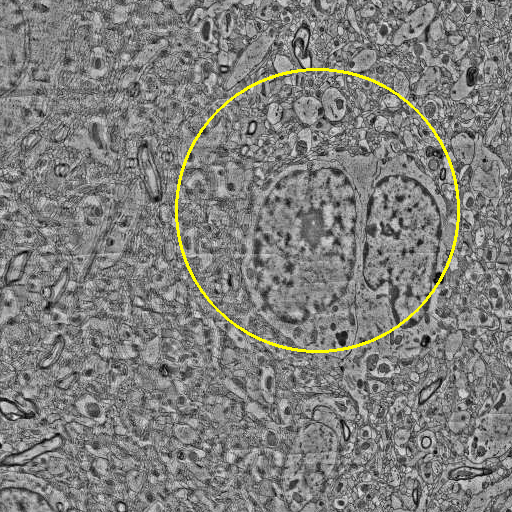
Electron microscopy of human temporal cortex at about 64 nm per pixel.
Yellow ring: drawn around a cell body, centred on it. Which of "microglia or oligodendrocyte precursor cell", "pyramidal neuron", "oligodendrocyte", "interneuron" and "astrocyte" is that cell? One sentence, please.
That cell body is from an interneuron.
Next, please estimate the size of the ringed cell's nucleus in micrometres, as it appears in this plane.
In this plane the nucleus measures about 10 by 7 micrometres and is clearly longer than it is wide.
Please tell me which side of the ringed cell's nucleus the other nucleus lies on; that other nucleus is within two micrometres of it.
That other nucleus is to the right of it.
